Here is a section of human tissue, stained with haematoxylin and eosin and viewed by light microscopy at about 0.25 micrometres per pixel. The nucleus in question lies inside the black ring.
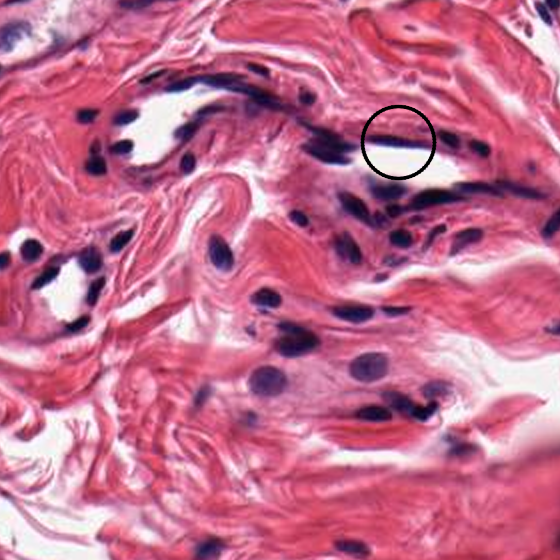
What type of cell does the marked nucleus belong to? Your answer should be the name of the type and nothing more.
endothelial cell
